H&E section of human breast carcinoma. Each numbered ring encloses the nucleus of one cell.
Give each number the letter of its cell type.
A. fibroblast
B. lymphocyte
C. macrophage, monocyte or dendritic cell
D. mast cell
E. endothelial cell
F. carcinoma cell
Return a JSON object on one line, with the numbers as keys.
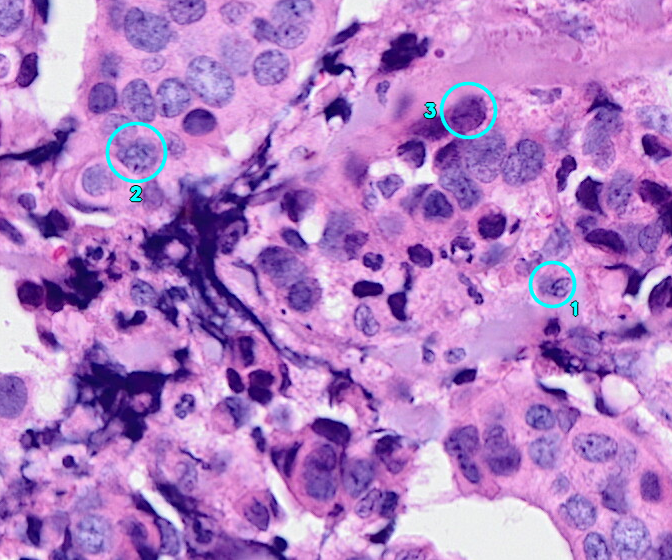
{"1": "C", "2": "F", "3": "F"}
